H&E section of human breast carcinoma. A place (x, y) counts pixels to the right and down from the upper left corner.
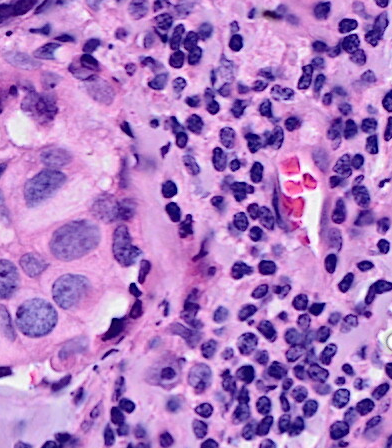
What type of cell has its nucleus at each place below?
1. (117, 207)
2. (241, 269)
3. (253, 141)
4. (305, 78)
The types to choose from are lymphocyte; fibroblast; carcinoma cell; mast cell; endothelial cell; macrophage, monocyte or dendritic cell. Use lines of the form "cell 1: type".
cell 1: carcinoma cell
cell 2: lymphocyte
cell 3: lymphocyte
cell 4: lymphocyte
